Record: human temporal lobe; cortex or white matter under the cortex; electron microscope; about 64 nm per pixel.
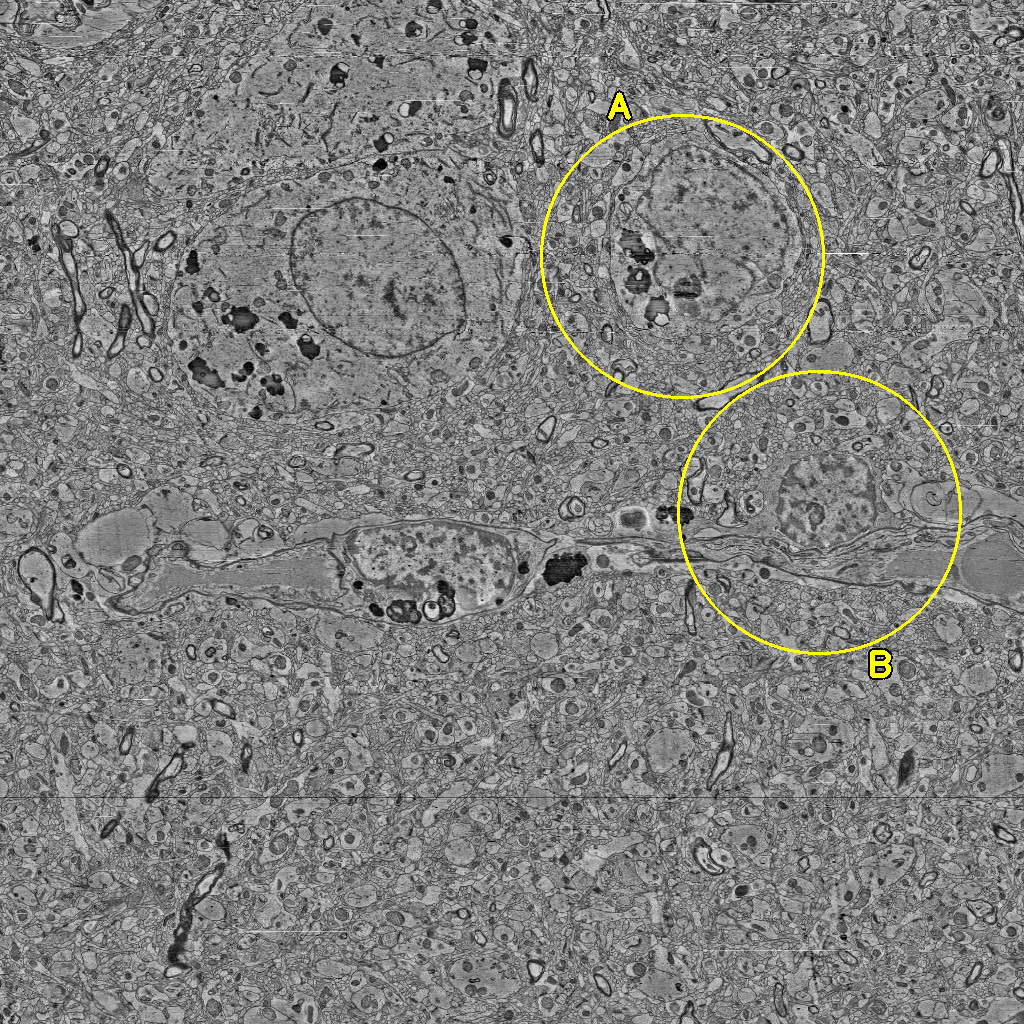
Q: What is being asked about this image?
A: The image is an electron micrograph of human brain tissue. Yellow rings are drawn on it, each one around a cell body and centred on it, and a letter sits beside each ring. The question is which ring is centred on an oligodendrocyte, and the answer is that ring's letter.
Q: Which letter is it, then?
B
